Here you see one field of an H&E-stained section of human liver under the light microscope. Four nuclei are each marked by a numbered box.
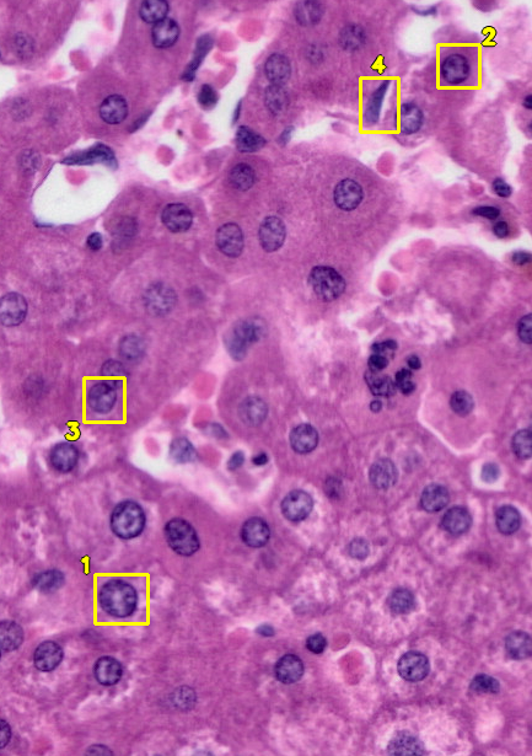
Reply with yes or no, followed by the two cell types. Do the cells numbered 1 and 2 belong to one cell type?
Yes, the cells numbered 1 and 2 are both hepatocytes.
